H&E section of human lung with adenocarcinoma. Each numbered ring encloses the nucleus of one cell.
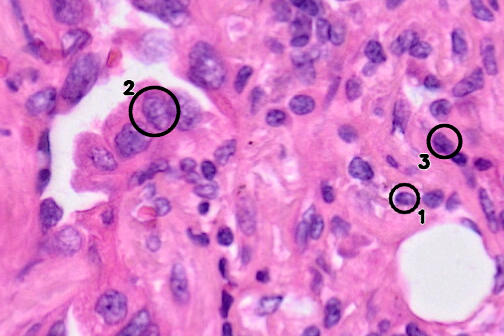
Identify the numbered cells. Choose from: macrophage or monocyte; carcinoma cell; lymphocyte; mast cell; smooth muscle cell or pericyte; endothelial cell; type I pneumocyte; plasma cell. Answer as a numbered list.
1. lymphocyte
2. carcinoma cell
3. lymphocyte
